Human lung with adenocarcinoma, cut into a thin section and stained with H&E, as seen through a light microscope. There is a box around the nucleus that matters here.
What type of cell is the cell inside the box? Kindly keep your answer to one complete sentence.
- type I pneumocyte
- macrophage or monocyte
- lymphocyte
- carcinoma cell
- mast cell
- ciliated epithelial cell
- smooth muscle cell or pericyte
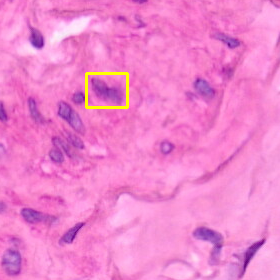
Microscopically, the cell inside the box is categorized as a smooth muscle cell or pericyte.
